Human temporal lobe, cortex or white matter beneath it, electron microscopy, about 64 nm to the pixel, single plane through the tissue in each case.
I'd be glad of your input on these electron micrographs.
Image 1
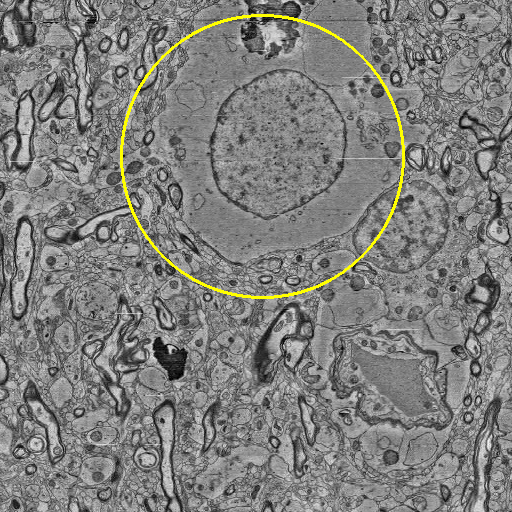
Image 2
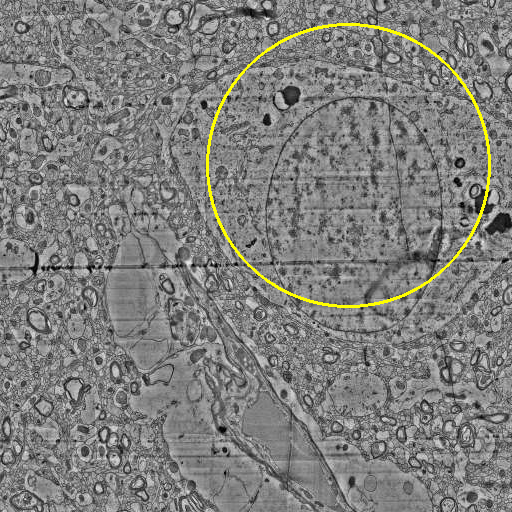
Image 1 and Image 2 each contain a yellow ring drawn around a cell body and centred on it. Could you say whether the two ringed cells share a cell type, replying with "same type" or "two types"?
two types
